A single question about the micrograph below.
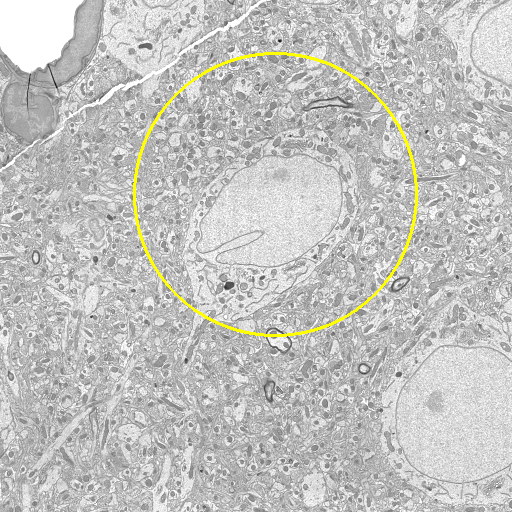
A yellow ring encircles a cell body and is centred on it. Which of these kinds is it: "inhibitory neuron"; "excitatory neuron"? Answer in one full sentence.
The cell body at the centre of the yellow ring belongs to an inhibitory neuron.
